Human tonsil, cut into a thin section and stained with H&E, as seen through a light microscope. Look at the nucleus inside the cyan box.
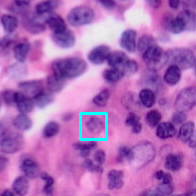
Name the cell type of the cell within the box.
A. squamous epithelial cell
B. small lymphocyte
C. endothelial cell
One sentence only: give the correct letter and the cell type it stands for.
In this section the cell within the box is an endothelial cell; option C is therefore correct.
